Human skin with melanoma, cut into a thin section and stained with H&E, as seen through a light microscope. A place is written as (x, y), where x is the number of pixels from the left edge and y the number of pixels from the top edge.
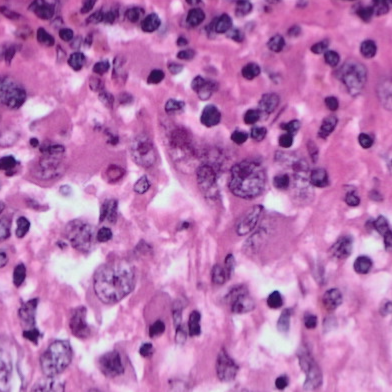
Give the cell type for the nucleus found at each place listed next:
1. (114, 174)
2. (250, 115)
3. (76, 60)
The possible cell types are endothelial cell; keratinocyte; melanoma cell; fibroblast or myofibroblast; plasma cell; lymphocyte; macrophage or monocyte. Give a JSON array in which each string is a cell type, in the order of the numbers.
["melanoma cell", "lymphocyte", "lymphocyte"]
